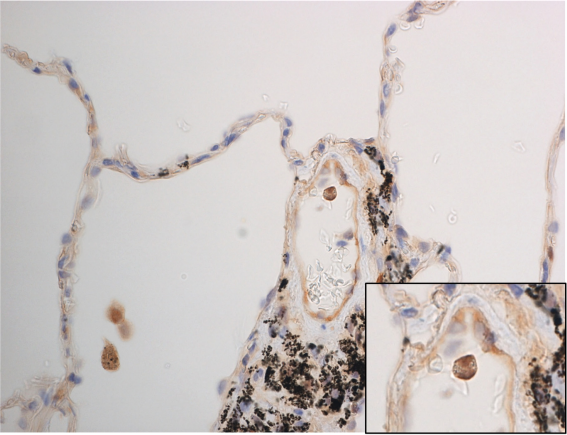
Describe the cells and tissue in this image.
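Thin alveolar walls with blue nuclei surround a small blood vessel lying in a cuff of connective tissue that contains abundant black particulate pigment. Inside the vessel lumen, among a few red blood cells, sits a single round brown-stained intravascular macrophage, shown enlarged in the inset. The alveolar walls and vessel wall show faint light brown staining.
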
